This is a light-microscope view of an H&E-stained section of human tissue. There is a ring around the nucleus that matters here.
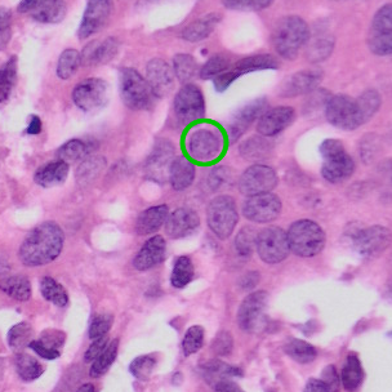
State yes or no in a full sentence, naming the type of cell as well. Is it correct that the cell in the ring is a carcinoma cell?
Yes, the cell in the ring is categorized as a carcinoma cell in this section.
